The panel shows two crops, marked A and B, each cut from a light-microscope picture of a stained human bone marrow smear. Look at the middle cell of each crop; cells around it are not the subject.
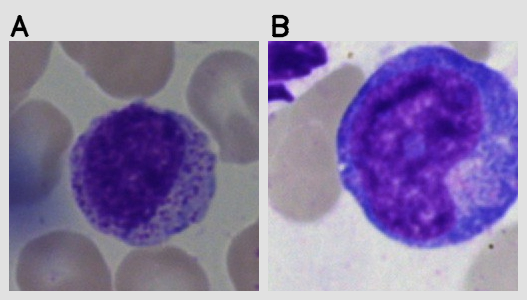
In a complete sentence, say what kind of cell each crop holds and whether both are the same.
No, a myelocyte is what occupies crop A, and a monocyte is what occupies crop B.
